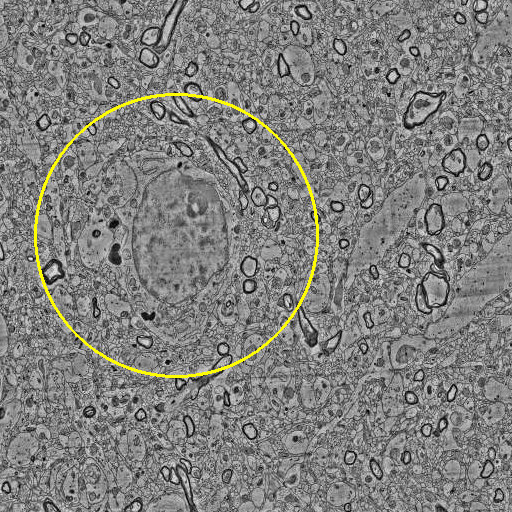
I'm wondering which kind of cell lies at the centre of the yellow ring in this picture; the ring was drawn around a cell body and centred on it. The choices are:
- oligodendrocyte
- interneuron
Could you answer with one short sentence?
At the centre of the ring lies an interneuron.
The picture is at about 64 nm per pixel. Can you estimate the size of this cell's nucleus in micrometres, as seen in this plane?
In this plane, approximately 9 by 6 micrometers.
